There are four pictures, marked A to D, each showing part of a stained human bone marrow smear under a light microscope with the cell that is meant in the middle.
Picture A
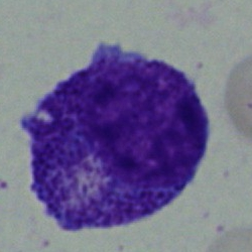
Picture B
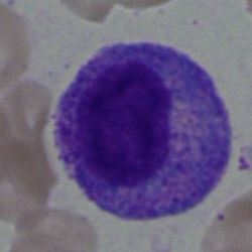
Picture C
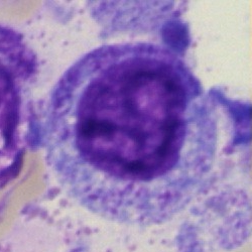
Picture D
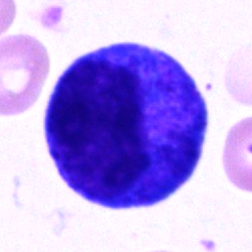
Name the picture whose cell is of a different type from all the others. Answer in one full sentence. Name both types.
The others show promyelocytes, but picture B shows a myelocyte.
